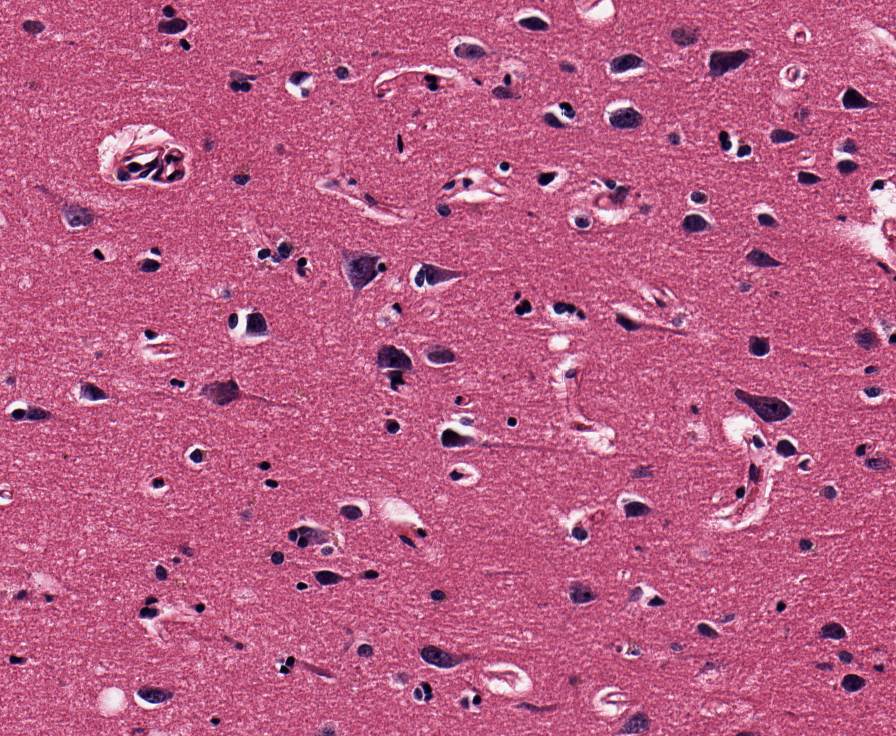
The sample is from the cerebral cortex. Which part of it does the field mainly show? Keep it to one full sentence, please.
The part of the tissue seen in this section is cellular layers of the cortex (layers II to VI).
